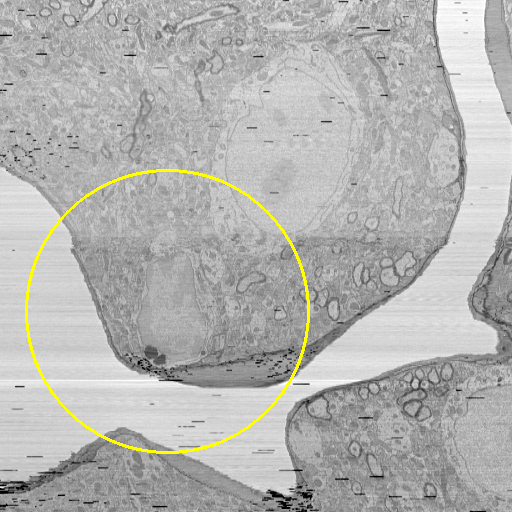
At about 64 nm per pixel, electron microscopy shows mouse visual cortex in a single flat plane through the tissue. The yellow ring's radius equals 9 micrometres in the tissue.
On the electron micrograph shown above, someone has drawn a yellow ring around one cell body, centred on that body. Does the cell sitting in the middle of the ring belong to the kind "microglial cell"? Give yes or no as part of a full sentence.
Yes, the cell located in the middle of the ring in the micrograph is of that kind.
